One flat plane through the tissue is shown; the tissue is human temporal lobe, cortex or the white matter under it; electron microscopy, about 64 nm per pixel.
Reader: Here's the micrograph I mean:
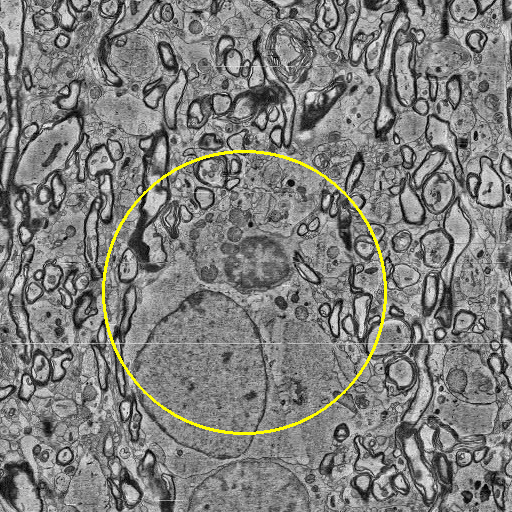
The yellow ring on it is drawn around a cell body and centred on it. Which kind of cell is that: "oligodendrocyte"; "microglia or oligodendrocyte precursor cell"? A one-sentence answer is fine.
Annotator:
The ring is centred on an oligodendrocyte.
